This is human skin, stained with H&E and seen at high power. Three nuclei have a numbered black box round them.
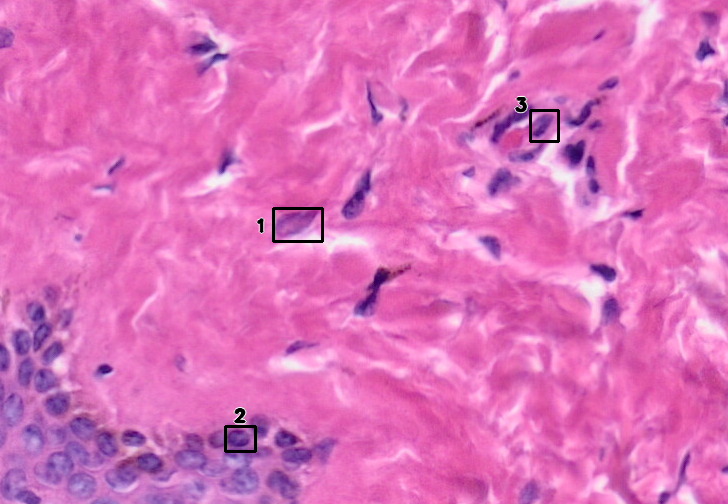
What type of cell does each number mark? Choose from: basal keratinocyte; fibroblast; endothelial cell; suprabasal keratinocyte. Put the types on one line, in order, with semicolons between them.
fibroblast; basal keratinocyte; endothelial cell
